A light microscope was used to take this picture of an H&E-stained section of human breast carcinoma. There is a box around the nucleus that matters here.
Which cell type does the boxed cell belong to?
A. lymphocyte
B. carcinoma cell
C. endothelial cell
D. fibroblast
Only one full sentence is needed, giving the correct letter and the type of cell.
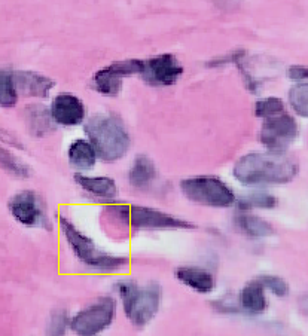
The correct option here, C, identifies the boxed cell as an endothelial cell.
